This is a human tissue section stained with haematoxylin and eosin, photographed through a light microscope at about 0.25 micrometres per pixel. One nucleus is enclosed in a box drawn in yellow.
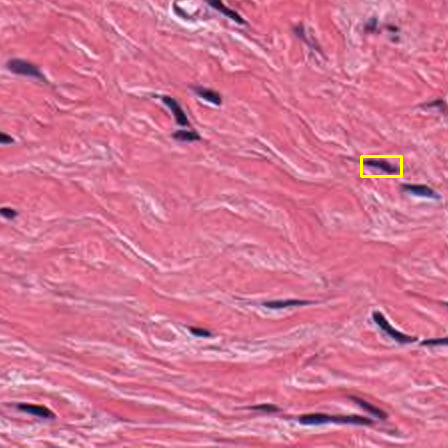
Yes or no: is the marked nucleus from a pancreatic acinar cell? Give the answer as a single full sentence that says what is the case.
No, that the marked nucleus belongs to a pancreatic acinar cell does not hold; it belongs to a supporting cell.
